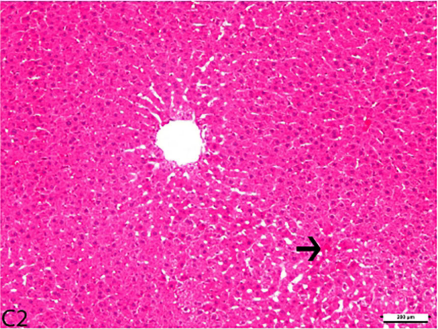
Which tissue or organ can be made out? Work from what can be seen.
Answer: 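A round empty central vessel with cords of polygonal cells radiating from it. Narrow sinusoidal spaces between the cell cords. On this evidence: liver.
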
